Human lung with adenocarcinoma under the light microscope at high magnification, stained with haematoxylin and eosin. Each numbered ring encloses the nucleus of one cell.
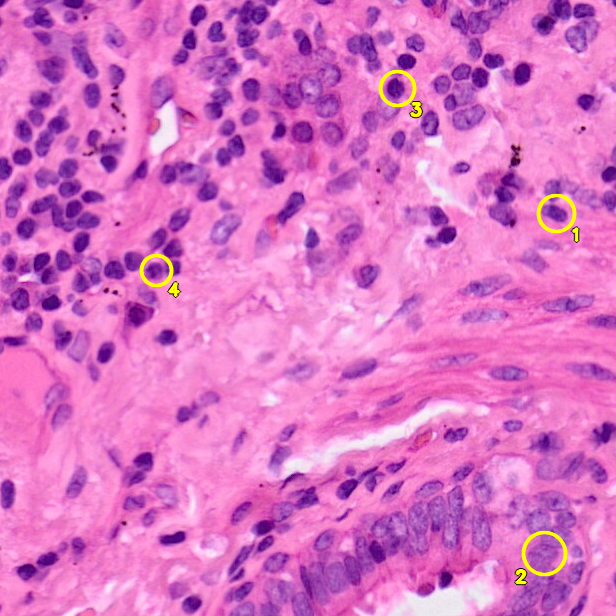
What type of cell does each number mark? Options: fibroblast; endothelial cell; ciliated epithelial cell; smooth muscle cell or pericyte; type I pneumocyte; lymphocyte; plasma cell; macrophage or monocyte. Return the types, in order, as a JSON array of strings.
["lymphocyte", "ciliated epithelial cell", "lymphocyte", "lymphocyte"]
